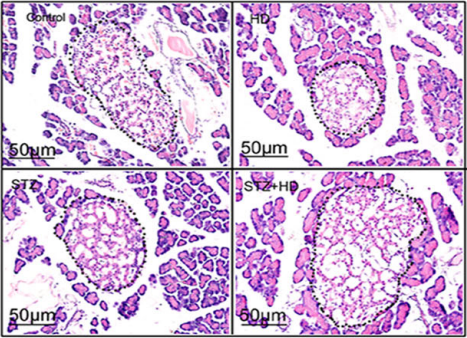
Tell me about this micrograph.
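Four sections of pancreas stained with hematoxylin and eosin, each showing a pancreatic islet outlined by a dashed line. The islets are rounded, pale pink clusters of cells with small dark nuclei, lying among darker purple-staining lobules of exocrine tissue. Inside the islets the cells form loose cords separated by thin pale spaces, whereas the surrounding tissue is packed into compact dark lobules. A vessel with pink contents lies beside the islet in the upper left image. The islets differ in size between the images, the one in the lower right being the largest.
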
